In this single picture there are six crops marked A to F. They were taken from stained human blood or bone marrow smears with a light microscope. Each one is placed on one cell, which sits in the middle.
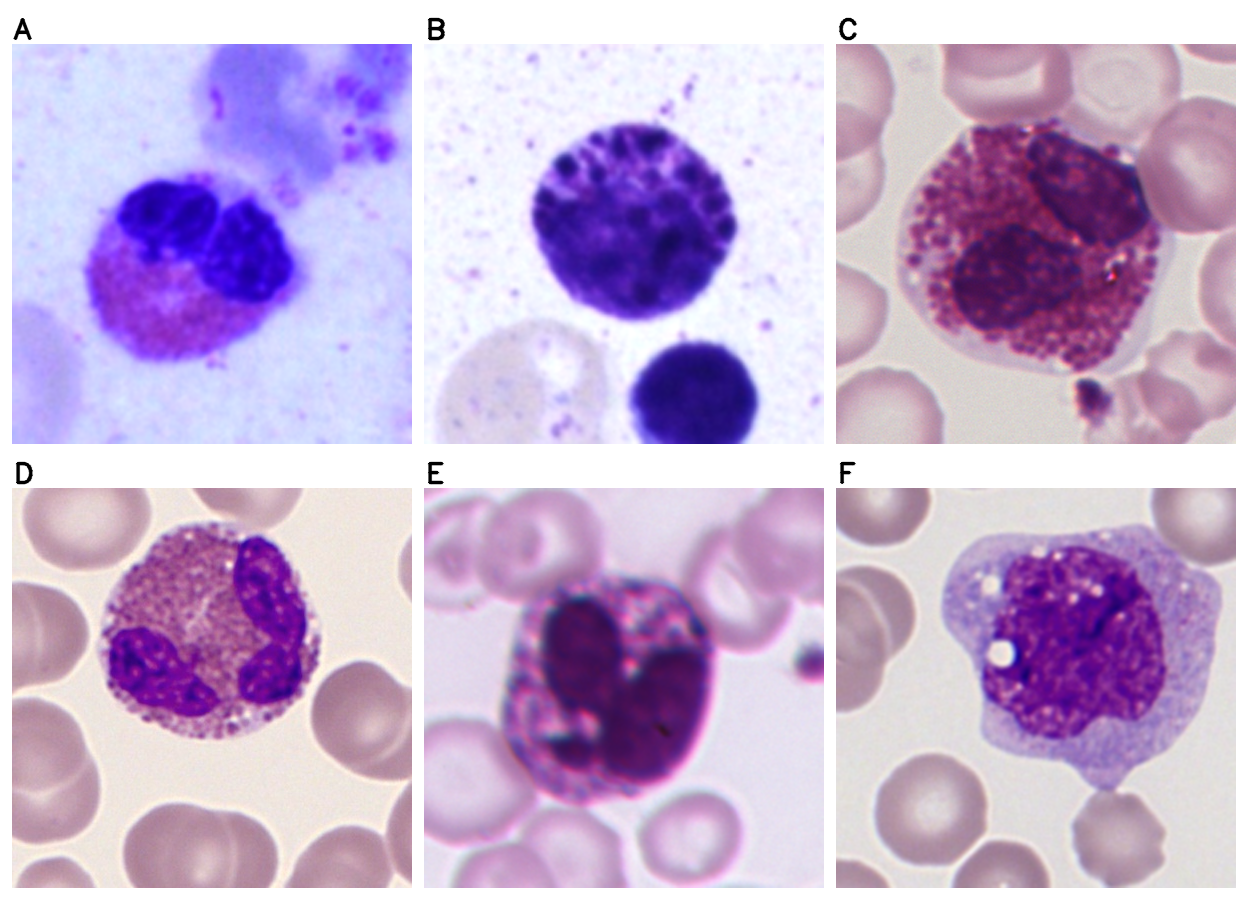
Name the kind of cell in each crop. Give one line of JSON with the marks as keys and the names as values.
{"A": "eosinophil", "B": "basophil", "C": "eosinophil", "D": "eosinophil", "E": "basophil", "F": "monocyte"}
